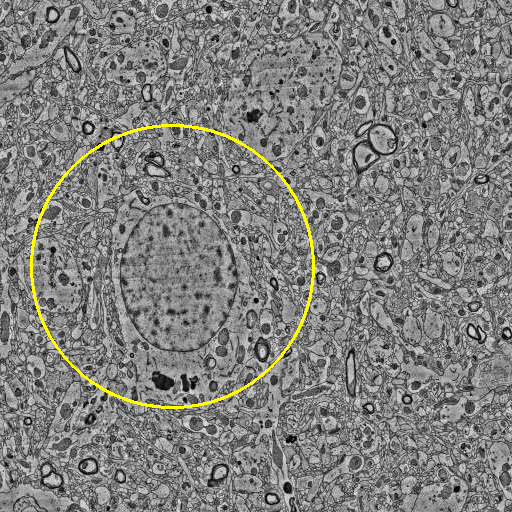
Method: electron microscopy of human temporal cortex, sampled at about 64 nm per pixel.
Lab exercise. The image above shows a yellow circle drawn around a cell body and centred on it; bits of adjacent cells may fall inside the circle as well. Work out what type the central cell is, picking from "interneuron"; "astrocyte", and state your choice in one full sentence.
In the image above, the cell at the centre of the yellow circle is an astrocyte.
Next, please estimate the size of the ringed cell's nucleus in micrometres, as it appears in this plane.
About 10 by 7 micrometres in this plane.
